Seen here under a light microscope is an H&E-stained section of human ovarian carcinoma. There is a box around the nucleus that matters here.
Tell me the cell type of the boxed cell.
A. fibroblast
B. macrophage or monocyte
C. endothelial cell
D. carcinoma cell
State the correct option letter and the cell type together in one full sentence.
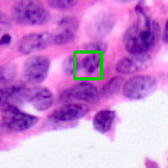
In this item, the boxed cell is a carcinoma cell, and option D is right.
